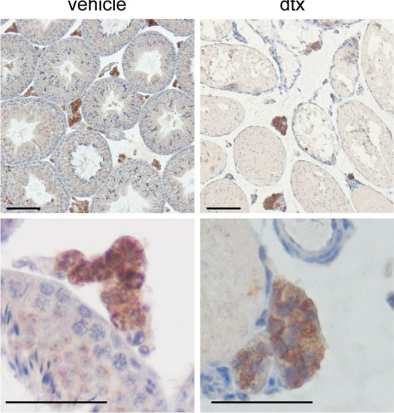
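Testis sections in which brown-stained groups of Leydig cells sit in the interstitium where several seminiferous tubules meet. The stained cells are rounded to polygonal with granular brown cytoplasm and round nuclei, packed in small clusters. In the right-hand images the tubules are pale with few cells inside and fewer stained clusters are seen.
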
